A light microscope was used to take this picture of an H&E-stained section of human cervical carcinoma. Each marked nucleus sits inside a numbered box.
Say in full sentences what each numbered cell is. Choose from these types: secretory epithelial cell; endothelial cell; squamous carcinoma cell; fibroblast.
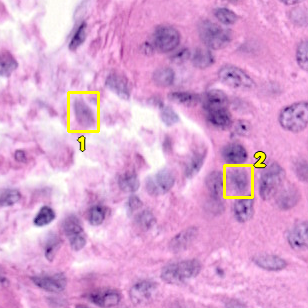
Cell 1 is a fibroblast and cell 2 is a squamous carcinoma cell.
